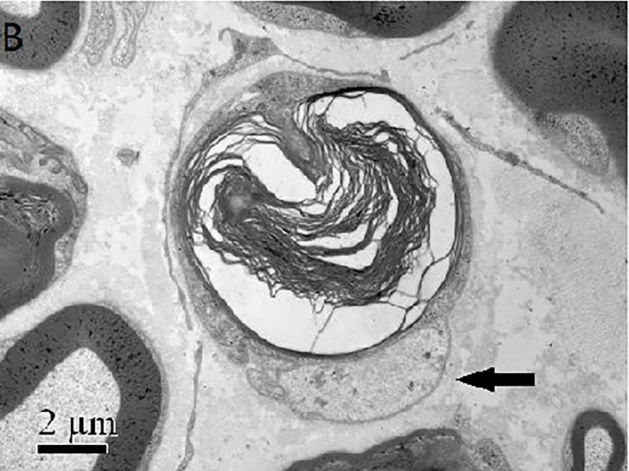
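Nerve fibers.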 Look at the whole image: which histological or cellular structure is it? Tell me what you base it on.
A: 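Myelin remnants. A round profile holds many thin dark lamellae swirled in a roughly circular arrangement. The lamellae are loosened and separated by pale spaces. A rim of cytoplasm surrounds the round profile.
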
